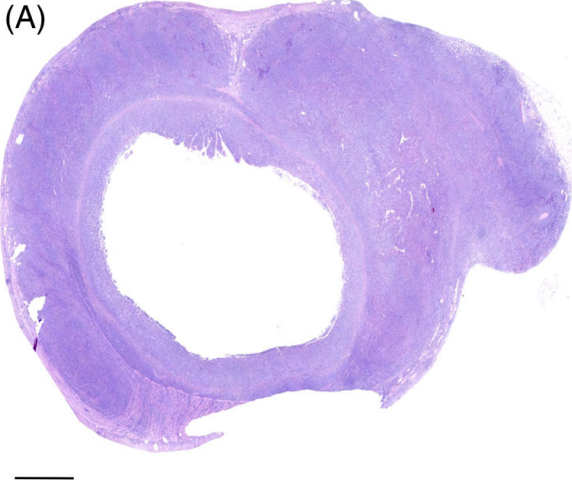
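Full-thickness cross-section of intestinal wall around an empty central lumen, markedly thickened by a dense purple cellular infiltrate. The infiltrate fills the wall diffusely from the inner lining through the deeper layers, forming bulging nodular expansions on the outer side.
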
